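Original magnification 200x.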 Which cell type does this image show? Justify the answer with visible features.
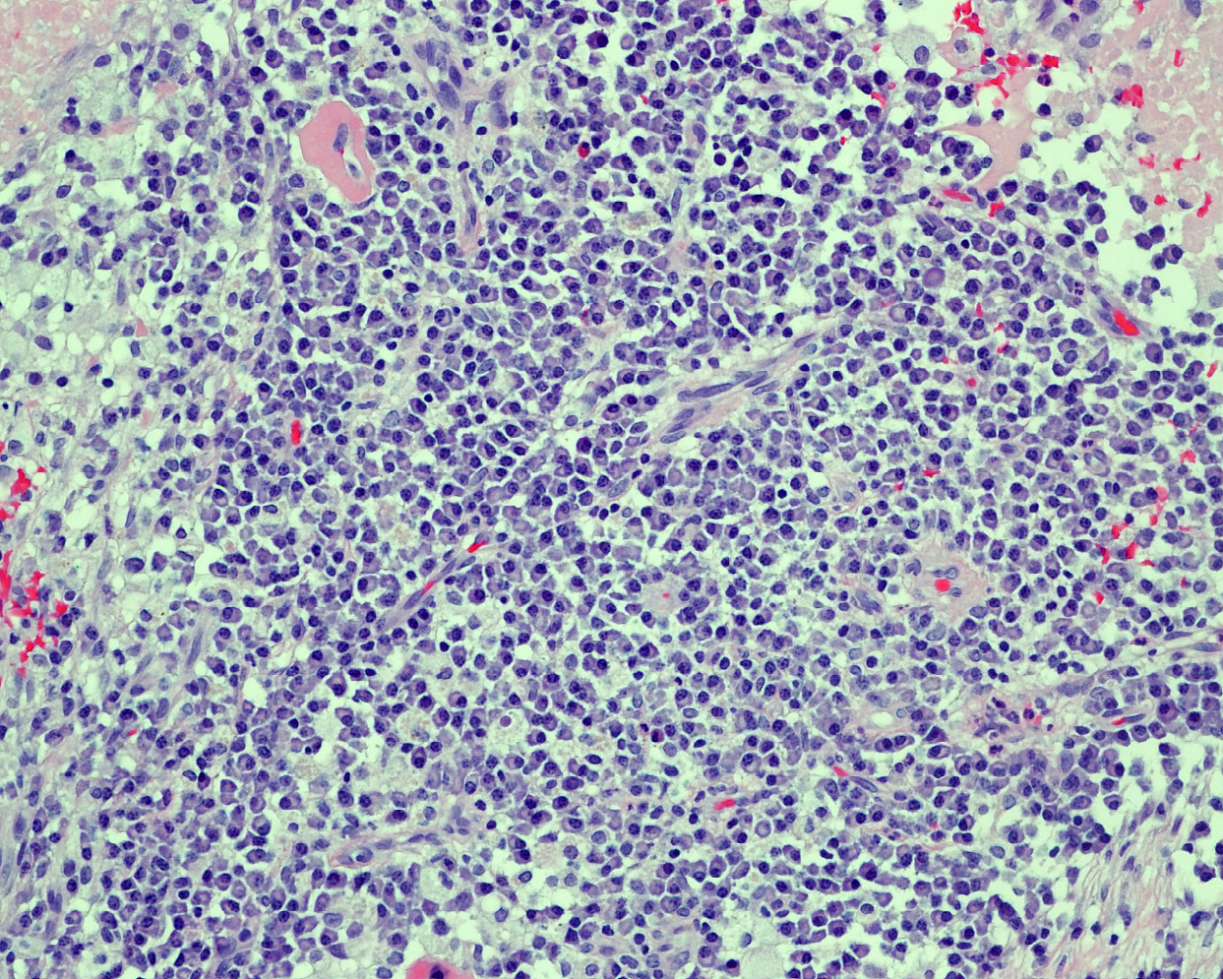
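Plasma cells. Densely packed sheets of round to oval cells fill most of the field. Many cells have a round, dark, eccentrically placed nucleus with a rim of purple-pink cytoplasm. A pale clear zone sits beside the nucleus in many cells.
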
